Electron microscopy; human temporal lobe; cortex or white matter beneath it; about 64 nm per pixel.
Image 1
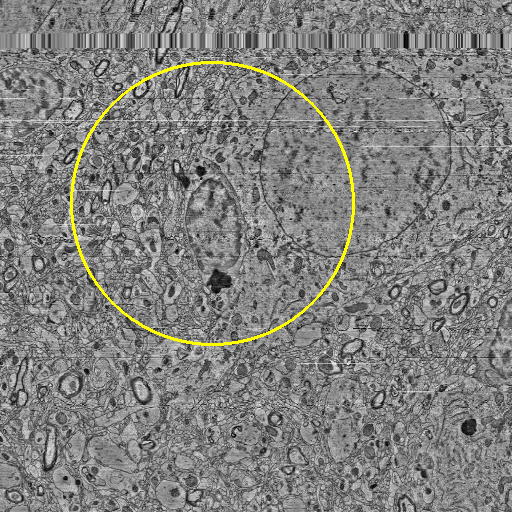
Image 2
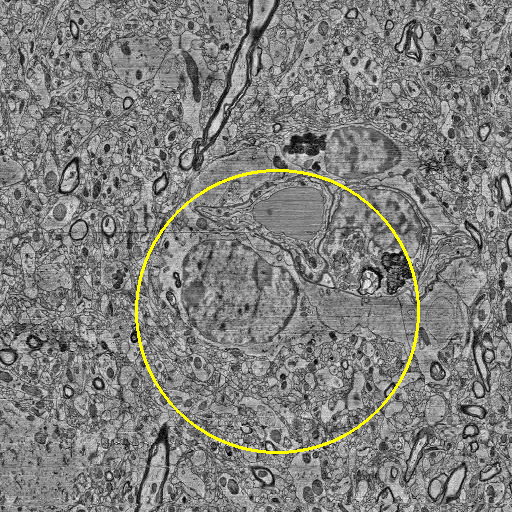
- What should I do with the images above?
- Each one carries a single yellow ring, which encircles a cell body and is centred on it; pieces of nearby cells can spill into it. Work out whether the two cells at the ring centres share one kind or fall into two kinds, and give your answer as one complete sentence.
The ring-centre cells of Image 1 and Image 2 fall into two kinds.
